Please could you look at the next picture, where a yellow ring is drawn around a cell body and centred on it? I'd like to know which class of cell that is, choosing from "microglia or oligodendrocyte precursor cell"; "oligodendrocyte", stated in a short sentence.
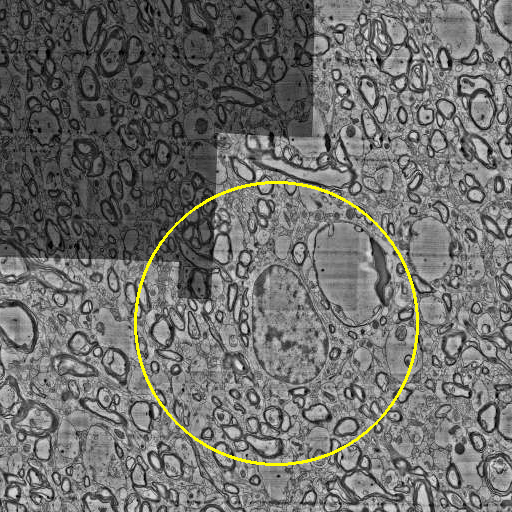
The ring's centre lies on a microglial cell or oligodendrocyte precursor cell.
